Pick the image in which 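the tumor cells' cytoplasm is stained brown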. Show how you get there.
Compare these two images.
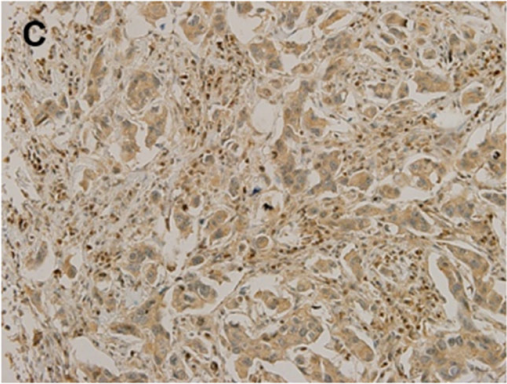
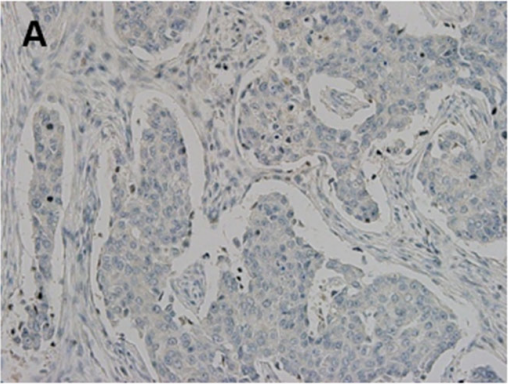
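First image: tumor cell nests have clearly brown cytoplasm throughout.
Hence: the first image.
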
